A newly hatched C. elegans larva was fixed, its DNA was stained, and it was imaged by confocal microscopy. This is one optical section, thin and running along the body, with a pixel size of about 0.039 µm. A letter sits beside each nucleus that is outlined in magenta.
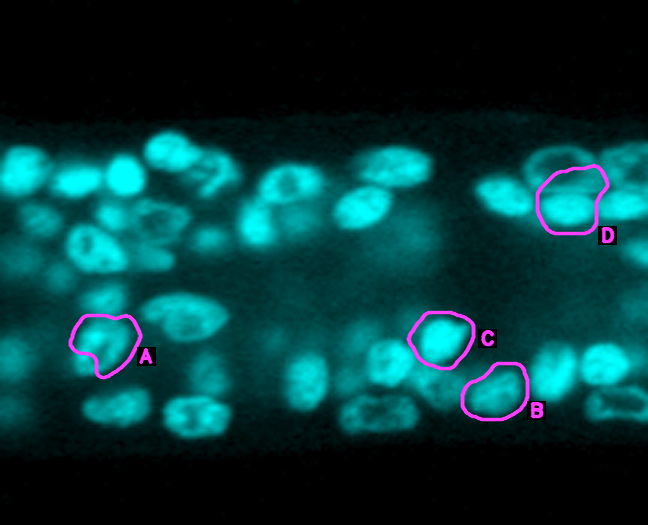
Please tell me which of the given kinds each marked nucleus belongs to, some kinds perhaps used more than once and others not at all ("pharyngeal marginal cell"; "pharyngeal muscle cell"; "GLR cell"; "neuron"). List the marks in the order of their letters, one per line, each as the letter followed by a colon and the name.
A: pharyngeal muscle cell
B: neuron
C: GLR cell
D: neuron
